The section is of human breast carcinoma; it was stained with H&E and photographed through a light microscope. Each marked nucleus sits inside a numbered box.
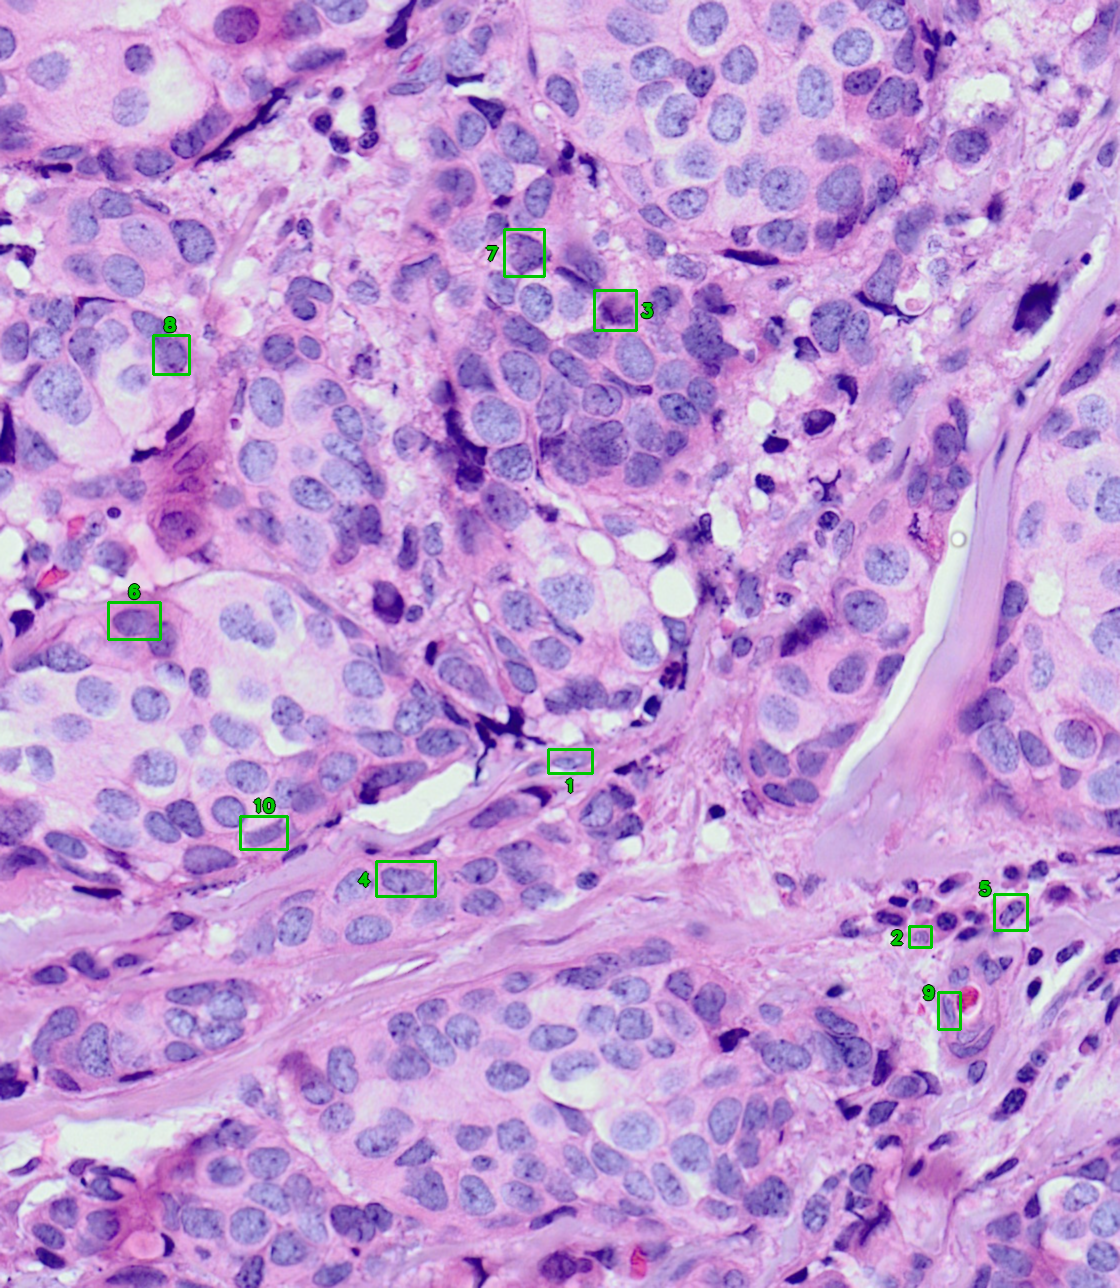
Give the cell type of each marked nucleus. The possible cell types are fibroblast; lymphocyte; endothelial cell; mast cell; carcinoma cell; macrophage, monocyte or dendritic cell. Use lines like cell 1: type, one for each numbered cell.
cell 1: endothelial cell
cell 2: mast cell
cell 3: carcinoma cell
cell 4: carcinoma cell
cell 5: mast cell
cell 6: carcinoma cell
cell 7: carcinoma cell
cell 8: carcinoma cell
cell 9: endothelial cell
cell 10: carcinoma cell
